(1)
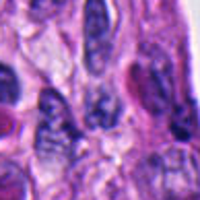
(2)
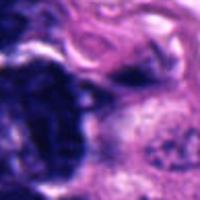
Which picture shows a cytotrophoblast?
Picture 1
